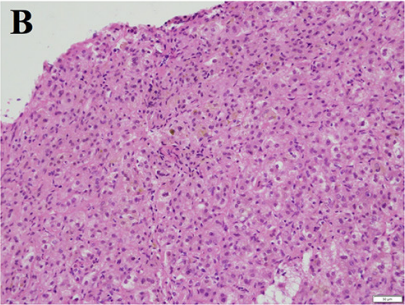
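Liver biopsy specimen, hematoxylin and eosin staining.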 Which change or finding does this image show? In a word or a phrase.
Inflammatory cell infiltration.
